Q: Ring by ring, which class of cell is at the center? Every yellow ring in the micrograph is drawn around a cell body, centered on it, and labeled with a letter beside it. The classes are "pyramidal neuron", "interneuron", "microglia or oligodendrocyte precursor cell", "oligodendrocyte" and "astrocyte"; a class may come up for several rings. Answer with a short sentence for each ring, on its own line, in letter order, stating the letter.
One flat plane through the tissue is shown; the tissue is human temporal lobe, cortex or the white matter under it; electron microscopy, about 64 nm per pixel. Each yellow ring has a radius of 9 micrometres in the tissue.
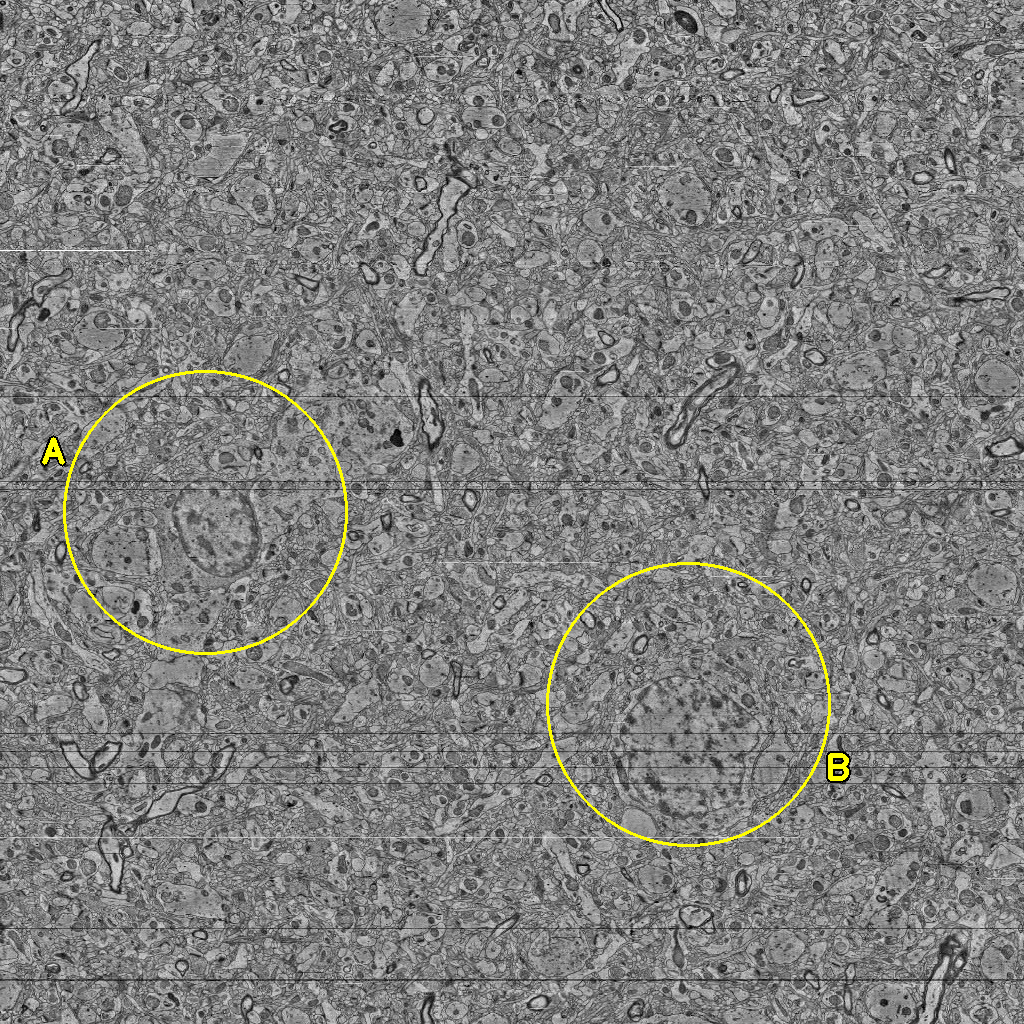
Ring A holds an oligodendrocyte at its center.
Ring B holds an interneuron at its center.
